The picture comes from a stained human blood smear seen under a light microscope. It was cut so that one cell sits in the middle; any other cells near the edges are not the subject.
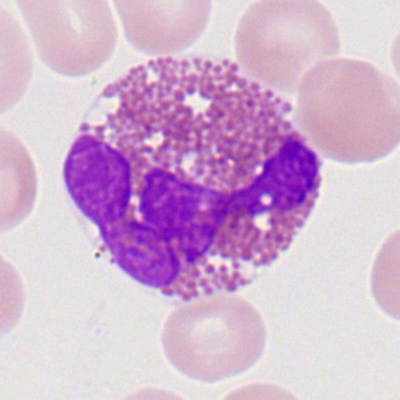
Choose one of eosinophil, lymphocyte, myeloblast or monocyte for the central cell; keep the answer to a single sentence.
At the middle of the frame sits an eosinophil.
